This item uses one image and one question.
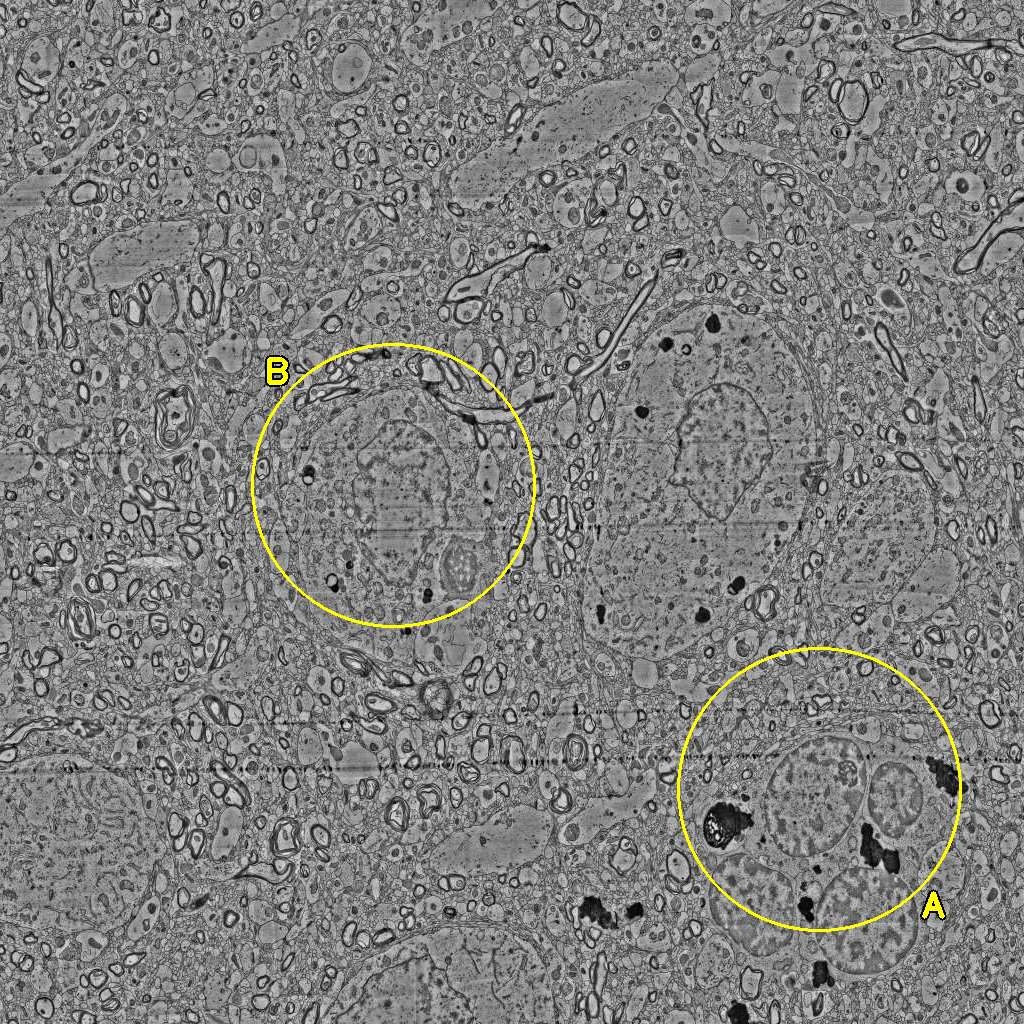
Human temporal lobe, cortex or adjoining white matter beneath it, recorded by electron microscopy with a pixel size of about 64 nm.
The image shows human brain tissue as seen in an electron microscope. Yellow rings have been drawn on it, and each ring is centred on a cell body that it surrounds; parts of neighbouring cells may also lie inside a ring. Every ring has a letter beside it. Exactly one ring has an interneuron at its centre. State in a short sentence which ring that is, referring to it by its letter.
Ring B has that cell at its centre.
